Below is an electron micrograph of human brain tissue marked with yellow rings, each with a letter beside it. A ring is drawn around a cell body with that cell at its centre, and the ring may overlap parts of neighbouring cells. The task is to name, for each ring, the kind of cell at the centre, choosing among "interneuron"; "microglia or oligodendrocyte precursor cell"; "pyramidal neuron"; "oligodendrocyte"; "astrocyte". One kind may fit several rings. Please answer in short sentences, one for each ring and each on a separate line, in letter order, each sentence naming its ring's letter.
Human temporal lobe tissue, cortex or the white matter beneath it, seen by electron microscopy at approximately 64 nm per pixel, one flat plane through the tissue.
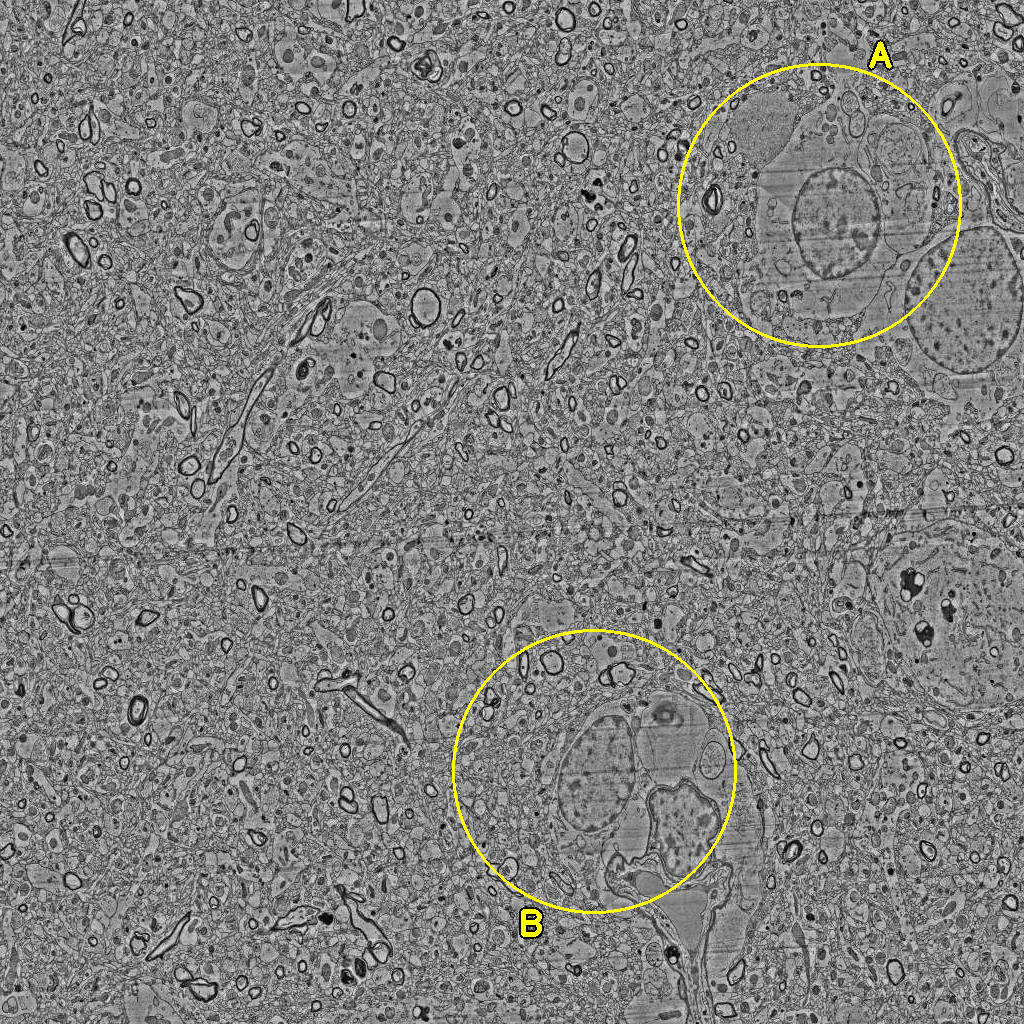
The ring with letter A is centred on an astrocyte.
The ring with letter B is centred on a microglial cell or oligodendrocyte precursor cell.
